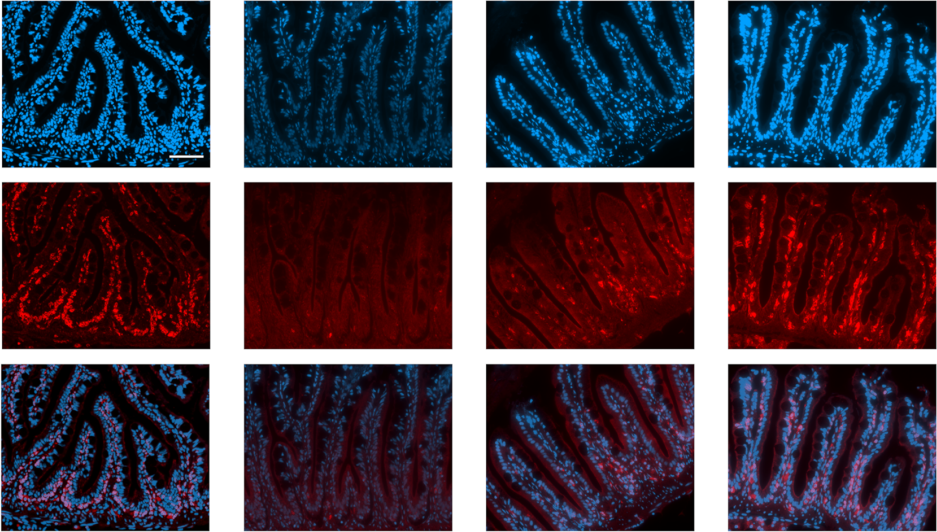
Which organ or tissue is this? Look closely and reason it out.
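Intestine. Long finger-like folds project from a common base into a lumen. Each fold is lined by a layer of densely packed blue nuclei.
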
